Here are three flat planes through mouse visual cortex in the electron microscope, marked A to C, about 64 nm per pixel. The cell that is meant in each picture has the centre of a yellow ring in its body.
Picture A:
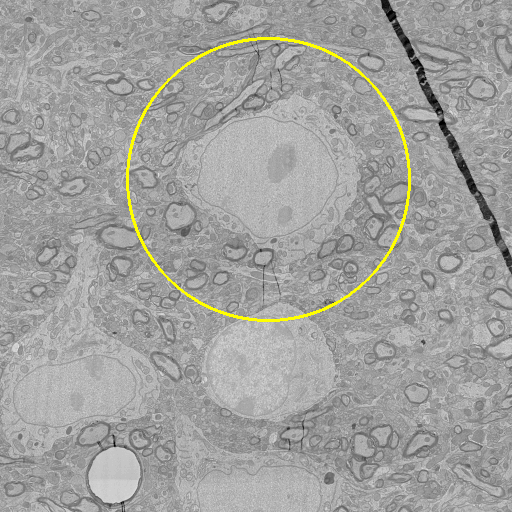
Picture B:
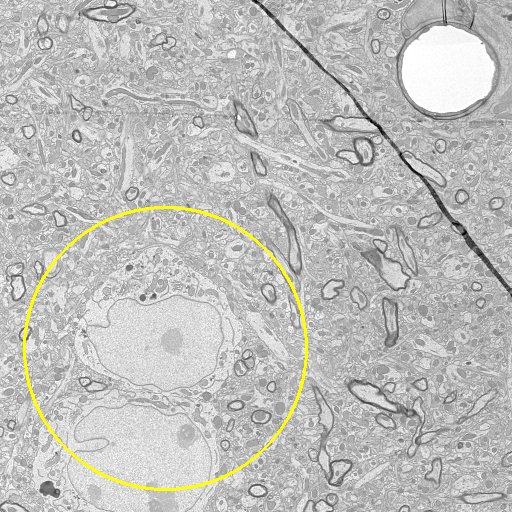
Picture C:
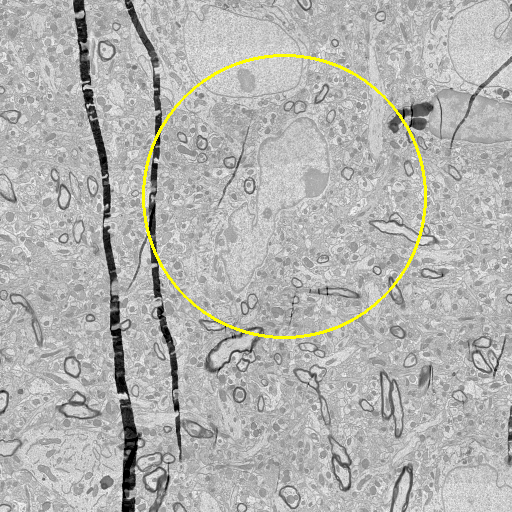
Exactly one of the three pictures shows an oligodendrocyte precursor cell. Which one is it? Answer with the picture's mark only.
C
